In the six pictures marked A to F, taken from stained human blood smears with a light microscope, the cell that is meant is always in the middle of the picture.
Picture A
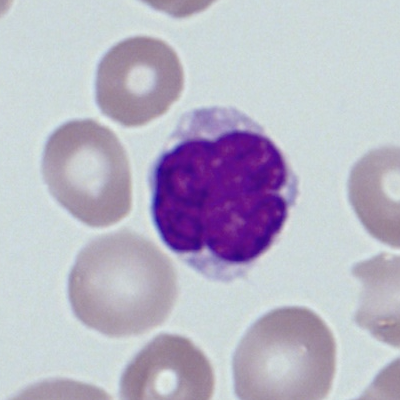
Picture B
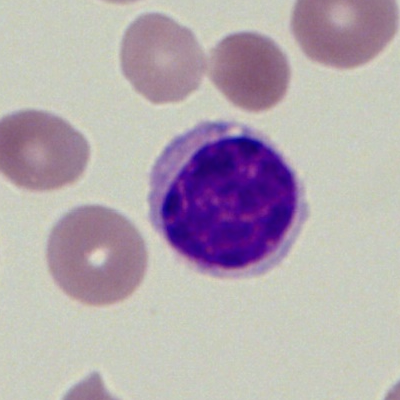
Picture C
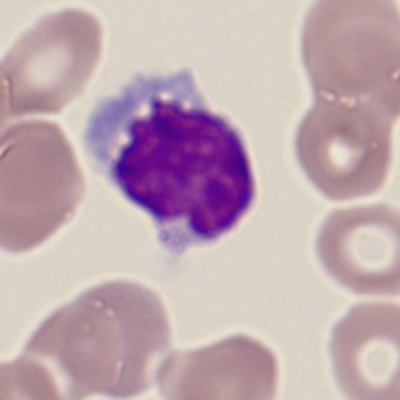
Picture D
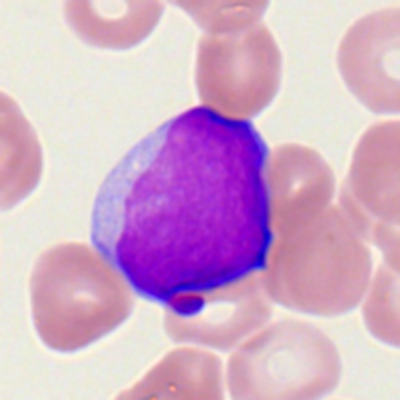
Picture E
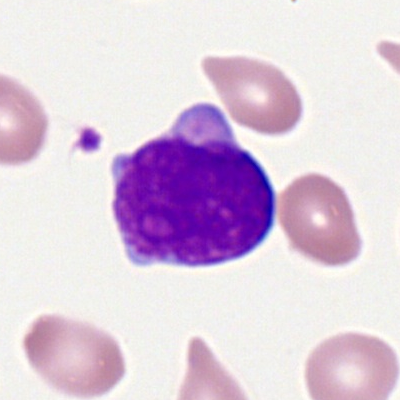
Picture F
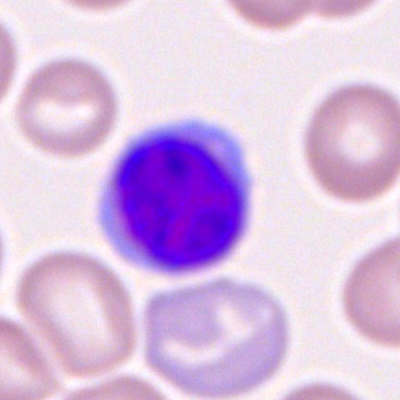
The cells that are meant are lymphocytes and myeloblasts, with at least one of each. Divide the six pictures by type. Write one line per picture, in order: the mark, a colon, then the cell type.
A: lymphocyte
B: lymphocyte
C: lymphocyte
D: myeloblast
E: myeloblast
F: lymphocyte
